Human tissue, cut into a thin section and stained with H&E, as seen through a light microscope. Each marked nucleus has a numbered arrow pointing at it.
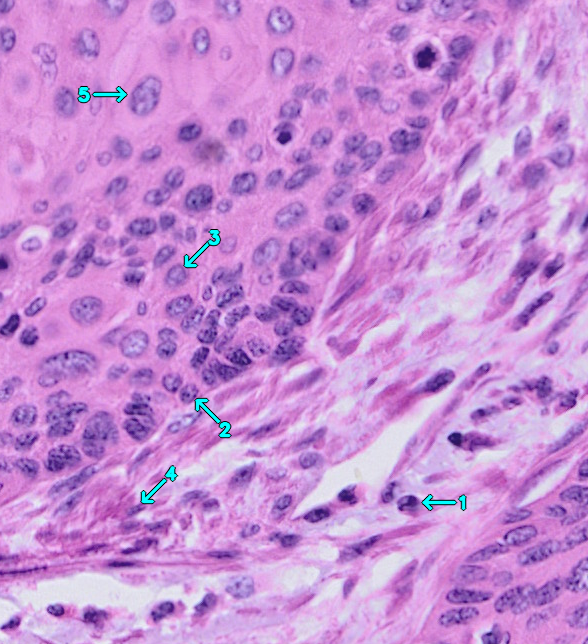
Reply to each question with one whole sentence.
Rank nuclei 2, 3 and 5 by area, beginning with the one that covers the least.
Smallest first, the nuclei run 2, 3, 5.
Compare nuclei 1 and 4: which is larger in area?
Nucleus 1 covers more area, about 2.5 times as much as nucleus 4.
